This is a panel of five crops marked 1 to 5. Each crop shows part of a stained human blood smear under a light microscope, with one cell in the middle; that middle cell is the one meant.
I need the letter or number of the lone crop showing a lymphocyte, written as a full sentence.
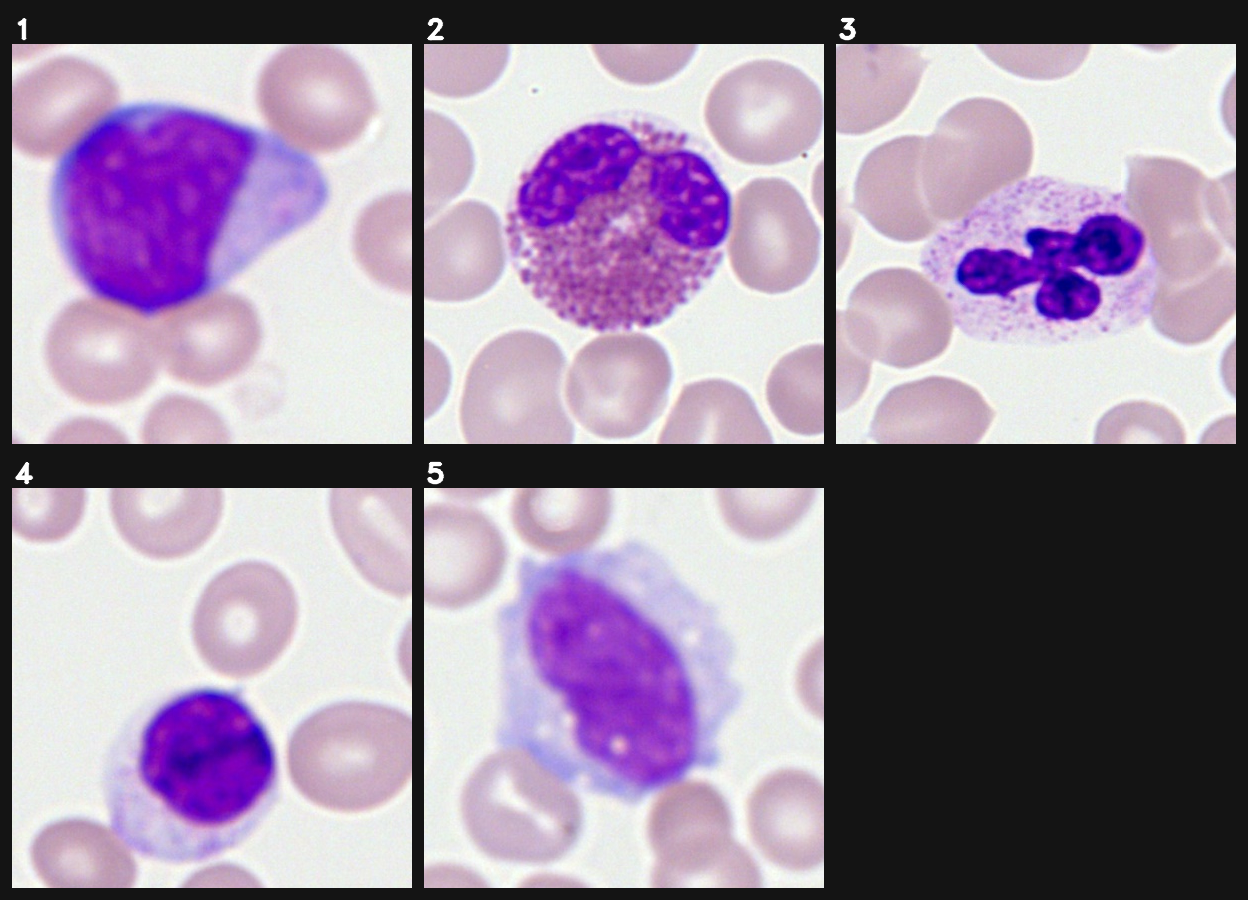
The crop with a lymphocyte in it is crop 4.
